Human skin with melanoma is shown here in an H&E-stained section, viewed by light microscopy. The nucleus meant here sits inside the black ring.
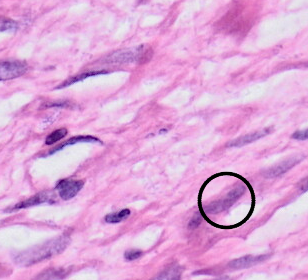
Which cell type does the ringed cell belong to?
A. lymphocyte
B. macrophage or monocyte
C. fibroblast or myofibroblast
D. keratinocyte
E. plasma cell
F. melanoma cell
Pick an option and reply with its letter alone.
C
